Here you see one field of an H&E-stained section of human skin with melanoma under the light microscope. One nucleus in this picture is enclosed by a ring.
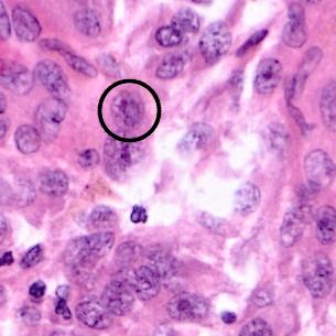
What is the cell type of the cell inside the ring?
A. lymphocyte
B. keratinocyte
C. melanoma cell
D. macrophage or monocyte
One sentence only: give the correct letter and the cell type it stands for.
Of all the options, C is right, since the cell inside the ring is a melanoma cell.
